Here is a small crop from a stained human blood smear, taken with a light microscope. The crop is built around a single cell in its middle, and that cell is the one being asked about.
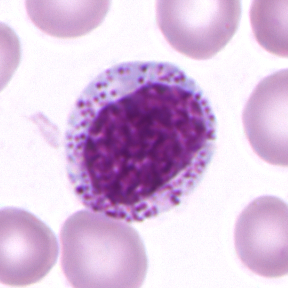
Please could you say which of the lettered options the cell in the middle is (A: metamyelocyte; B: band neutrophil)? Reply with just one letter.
A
